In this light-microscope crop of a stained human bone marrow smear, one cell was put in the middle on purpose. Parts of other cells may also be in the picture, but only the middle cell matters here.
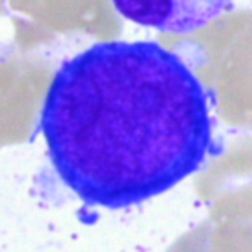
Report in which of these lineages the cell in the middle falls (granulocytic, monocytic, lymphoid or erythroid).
erythroid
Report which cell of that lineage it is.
proerythroblast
